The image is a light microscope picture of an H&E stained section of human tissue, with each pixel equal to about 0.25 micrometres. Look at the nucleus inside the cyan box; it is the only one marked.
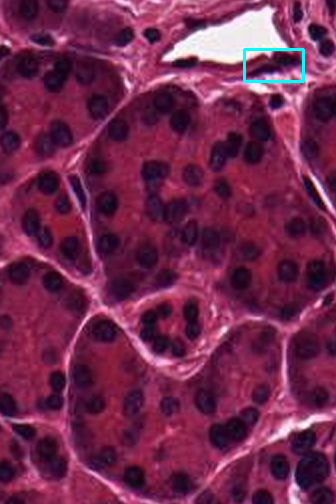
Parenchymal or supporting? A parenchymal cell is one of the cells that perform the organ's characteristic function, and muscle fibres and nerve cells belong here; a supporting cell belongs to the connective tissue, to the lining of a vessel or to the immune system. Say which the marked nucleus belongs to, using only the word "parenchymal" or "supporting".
supporting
